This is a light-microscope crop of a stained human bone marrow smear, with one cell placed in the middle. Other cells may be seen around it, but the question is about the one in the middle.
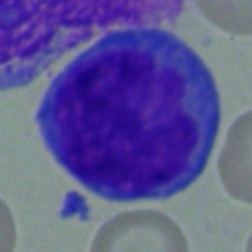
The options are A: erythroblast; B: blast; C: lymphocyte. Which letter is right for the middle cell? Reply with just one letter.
B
